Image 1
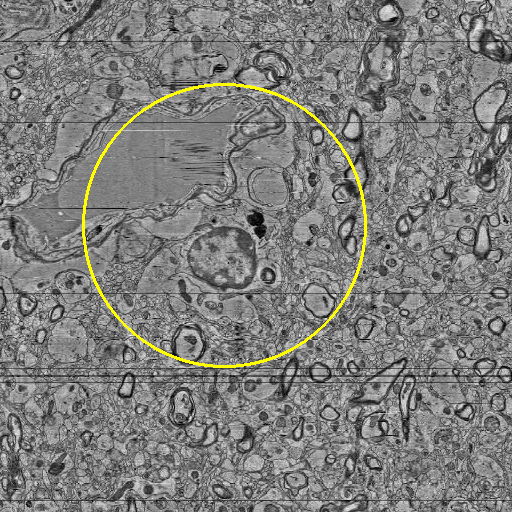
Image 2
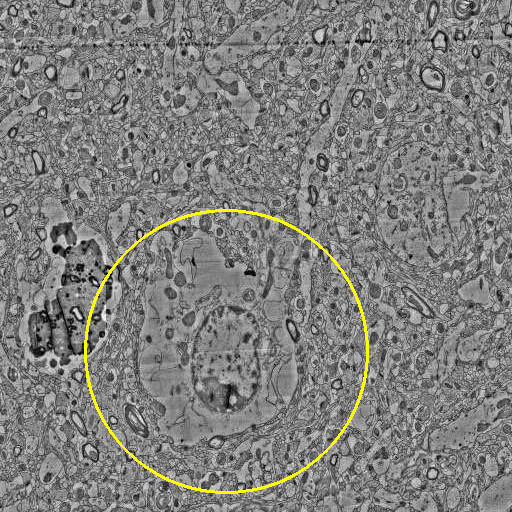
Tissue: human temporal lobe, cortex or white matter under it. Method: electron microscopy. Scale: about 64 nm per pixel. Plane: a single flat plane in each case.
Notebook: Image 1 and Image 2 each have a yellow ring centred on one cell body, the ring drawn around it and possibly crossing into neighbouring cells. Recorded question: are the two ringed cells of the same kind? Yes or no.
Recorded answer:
no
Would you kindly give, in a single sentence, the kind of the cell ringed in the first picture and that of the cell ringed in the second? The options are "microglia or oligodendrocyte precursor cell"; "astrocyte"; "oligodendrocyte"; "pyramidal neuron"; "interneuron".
The second cell is an astrocyte, and the first cell is a microglial cell or oligodendrocyte precursor cell.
